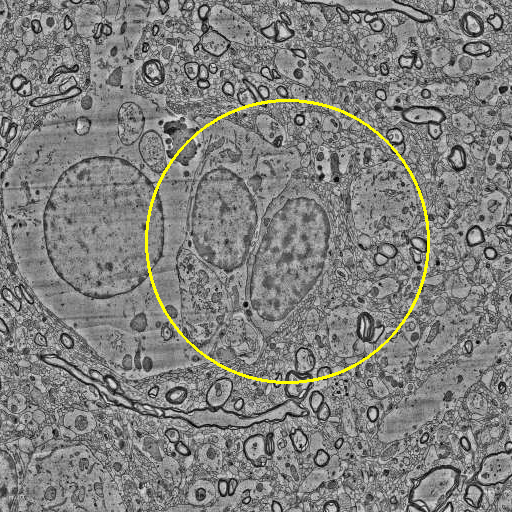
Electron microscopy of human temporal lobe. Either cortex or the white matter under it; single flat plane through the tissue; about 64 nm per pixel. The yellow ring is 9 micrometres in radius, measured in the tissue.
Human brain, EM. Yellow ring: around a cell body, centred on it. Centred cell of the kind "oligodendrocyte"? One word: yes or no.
yes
